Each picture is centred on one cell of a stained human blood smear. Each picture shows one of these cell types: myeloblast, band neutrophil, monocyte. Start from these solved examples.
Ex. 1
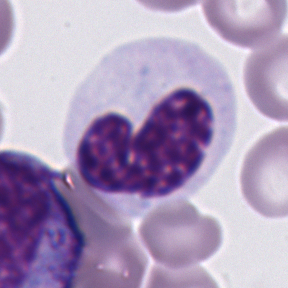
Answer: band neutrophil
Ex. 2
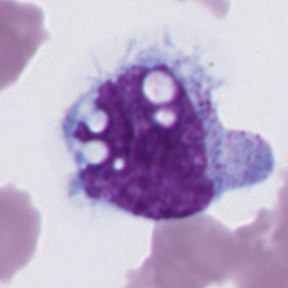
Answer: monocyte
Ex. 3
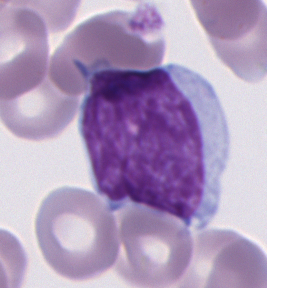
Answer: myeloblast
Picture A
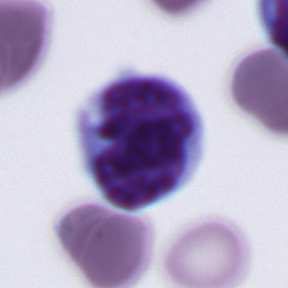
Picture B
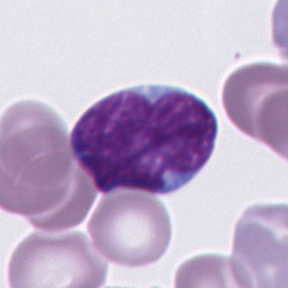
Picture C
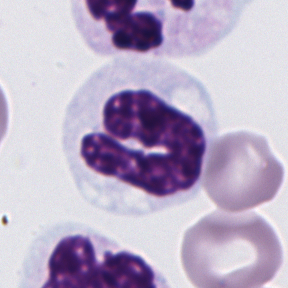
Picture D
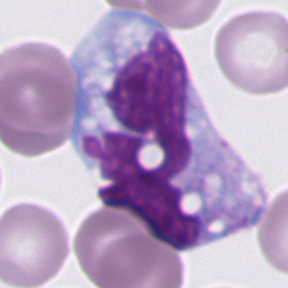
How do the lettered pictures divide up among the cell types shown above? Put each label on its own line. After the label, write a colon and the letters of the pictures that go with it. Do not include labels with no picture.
myeloblast: B
band neutrophil: C
monocyte: A, D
